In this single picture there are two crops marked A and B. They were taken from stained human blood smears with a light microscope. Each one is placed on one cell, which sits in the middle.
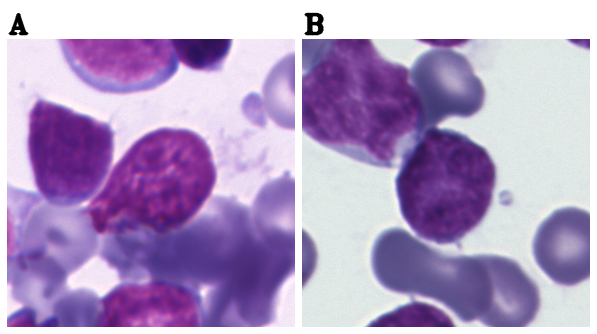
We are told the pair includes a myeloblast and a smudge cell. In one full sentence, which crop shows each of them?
In this set, crop A shows a smudge cell and crop B shows a myeloblast.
